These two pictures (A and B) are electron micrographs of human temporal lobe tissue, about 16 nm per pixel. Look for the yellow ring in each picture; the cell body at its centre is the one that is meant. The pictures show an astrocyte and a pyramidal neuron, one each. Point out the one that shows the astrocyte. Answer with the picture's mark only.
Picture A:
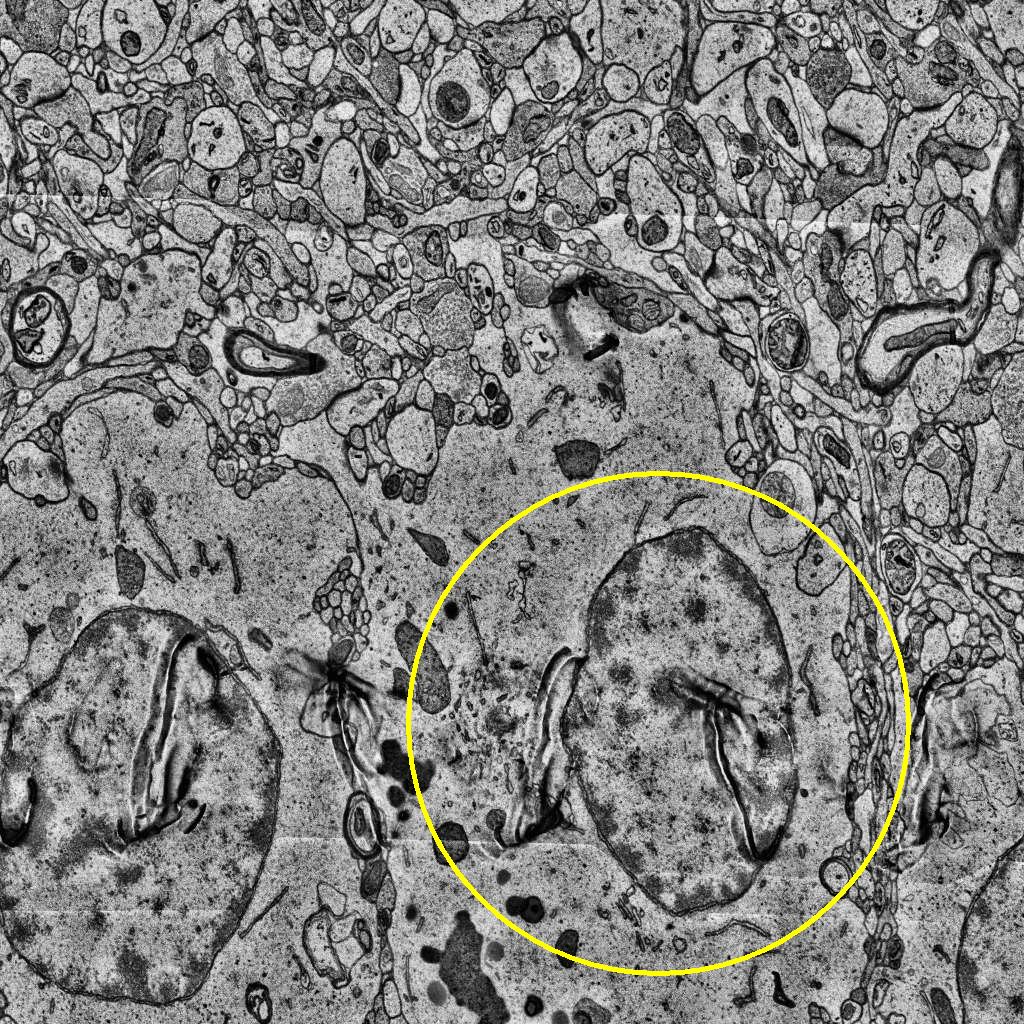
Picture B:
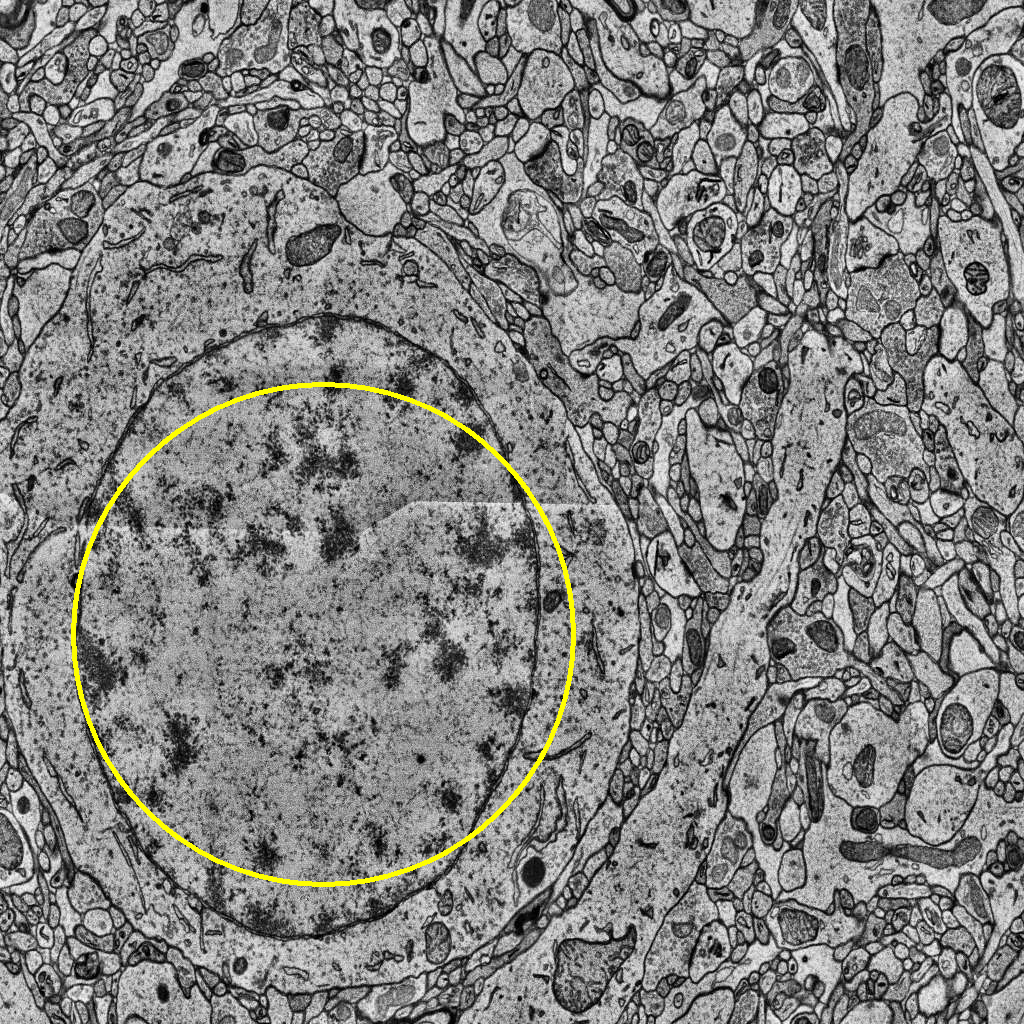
A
